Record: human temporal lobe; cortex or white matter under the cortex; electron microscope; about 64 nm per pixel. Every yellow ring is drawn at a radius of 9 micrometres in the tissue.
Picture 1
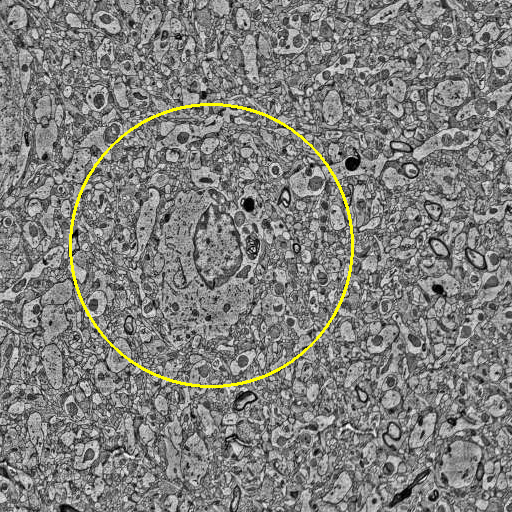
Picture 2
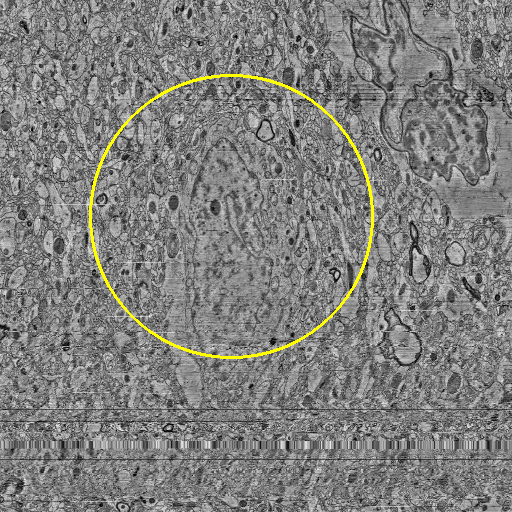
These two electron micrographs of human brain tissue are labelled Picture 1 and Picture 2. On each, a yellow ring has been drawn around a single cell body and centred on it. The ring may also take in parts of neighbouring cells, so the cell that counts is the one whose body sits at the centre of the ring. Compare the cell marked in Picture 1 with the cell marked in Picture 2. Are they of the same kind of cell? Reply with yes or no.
no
